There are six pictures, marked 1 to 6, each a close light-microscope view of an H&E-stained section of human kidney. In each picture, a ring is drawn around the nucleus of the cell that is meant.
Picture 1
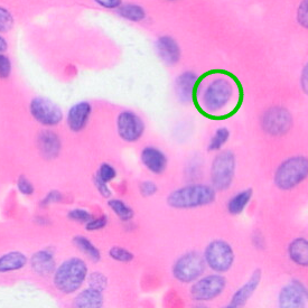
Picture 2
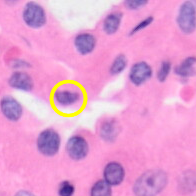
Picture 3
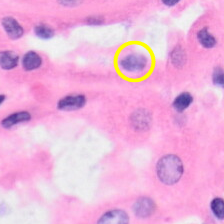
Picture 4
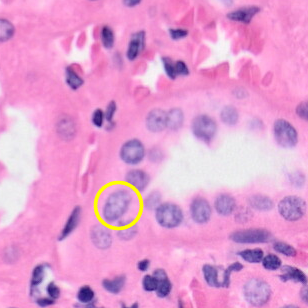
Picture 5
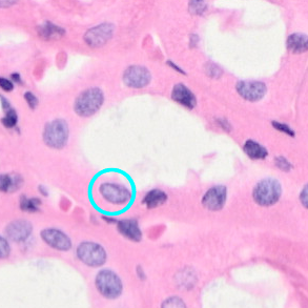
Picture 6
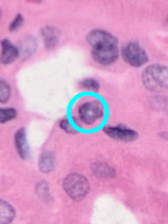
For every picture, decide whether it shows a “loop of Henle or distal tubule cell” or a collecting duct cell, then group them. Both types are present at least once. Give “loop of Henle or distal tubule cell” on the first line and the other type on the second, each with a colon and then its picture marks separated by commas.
loop of Henle or distal tubule cell: 2, 3, 5
collecting duct cell: 1, 4, 6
